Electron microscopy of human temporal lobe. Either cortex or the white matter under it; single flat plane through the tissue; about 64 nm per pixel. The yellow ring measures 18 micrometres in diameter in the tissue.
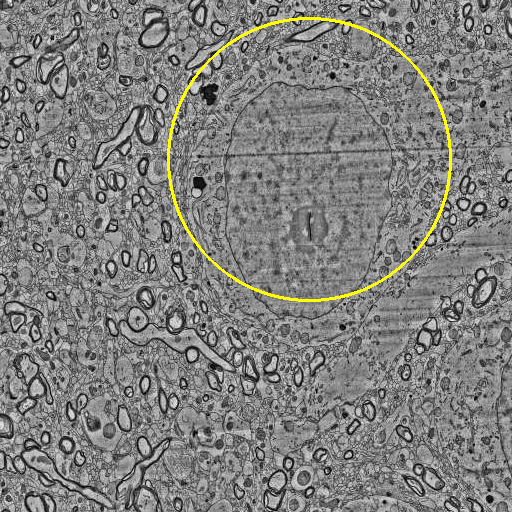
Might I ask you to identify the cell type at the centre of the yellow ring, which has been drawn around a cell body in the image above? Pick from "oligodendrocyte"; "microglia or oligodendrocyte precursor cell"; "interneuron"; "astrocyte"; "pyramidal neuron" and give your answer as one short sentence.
The centre of the ring falls on a pyramidal neuron.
